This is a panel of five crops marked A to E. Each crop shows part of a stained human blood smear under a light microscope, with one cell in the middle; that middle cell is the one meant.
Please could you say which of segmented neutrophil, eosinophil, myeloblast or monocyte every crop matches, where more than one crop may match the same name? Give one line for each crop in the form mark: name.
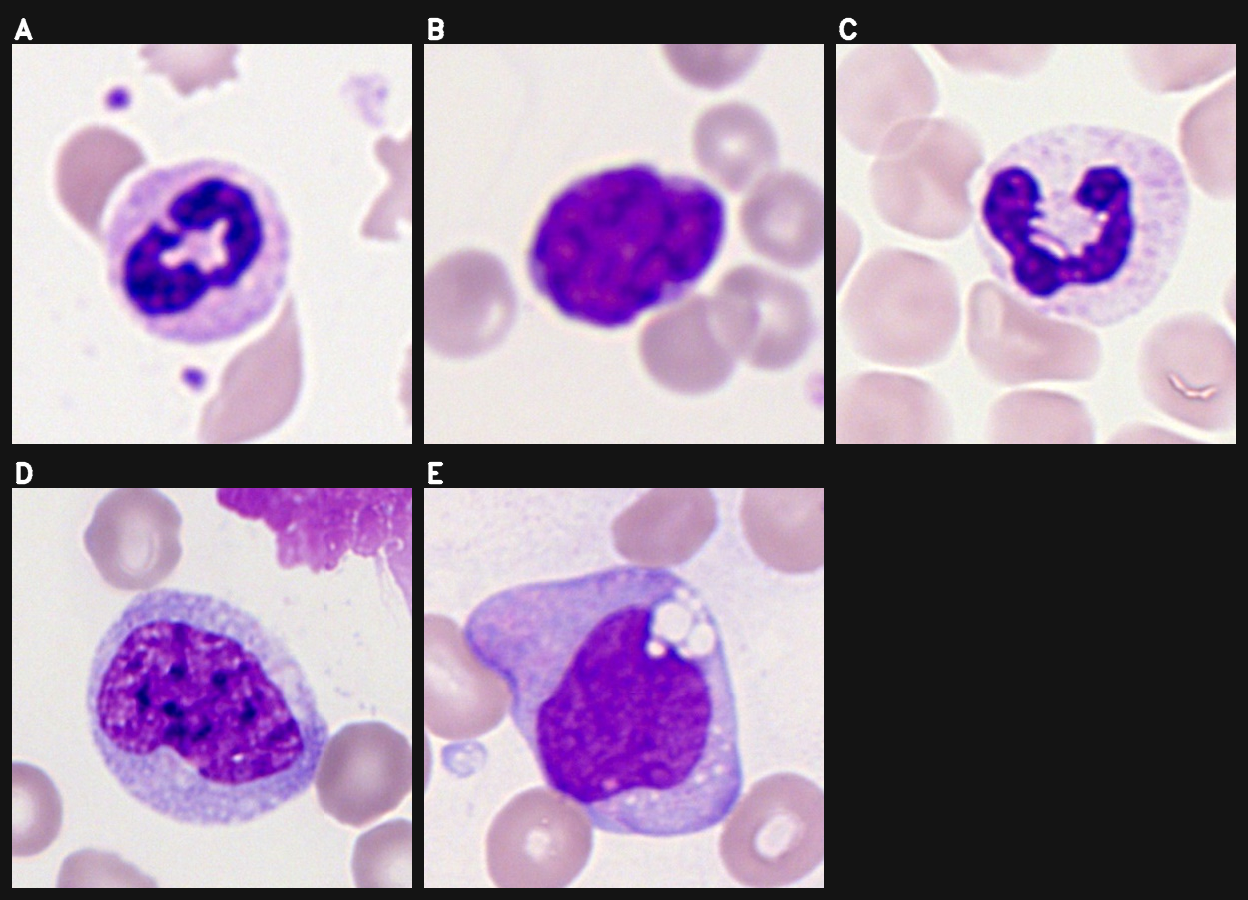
A: segmented neutrophil
B: myeloblast
C: segmented neutrophil
D: monocyte
E: monocyte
